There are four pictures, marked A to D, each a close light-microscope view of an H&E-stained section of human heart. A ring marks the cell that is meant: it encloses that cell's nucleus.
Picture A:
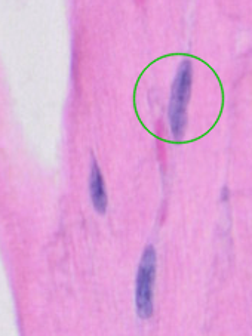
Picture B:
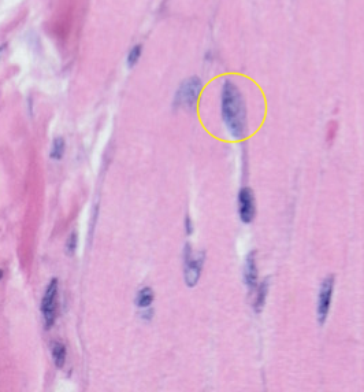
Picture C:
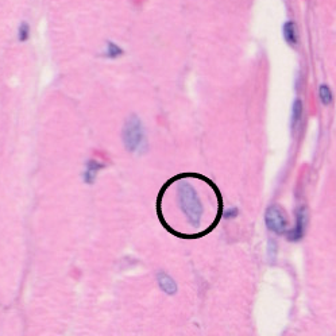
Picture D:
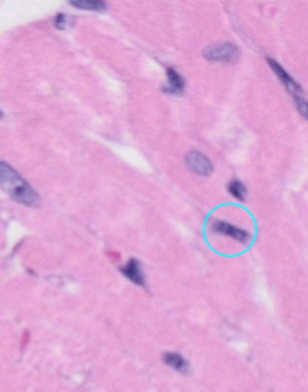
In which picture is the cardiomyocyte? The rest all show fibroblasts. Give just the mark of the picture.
C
